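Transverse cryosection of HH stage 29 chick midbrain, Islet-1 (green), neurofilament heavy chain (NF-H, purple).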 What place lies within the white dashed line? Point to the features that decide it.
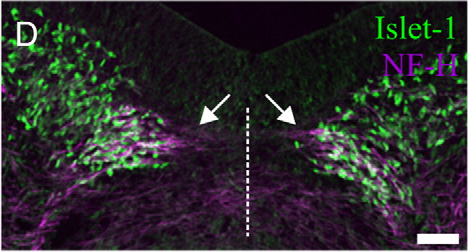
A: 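The dashed line runs vertically through the centre of the section. The two cell clusters lie symmetrically on either side of it. That points to this answer: midline.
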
